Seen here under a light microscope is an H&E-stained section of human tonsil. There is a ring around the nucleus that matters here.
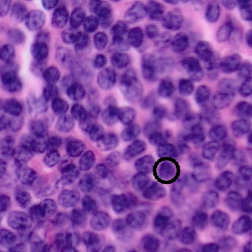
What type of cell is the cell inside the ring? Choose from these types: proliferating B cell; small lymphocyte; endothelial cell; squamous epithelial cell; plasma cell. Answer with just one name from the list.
small lymphocyte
